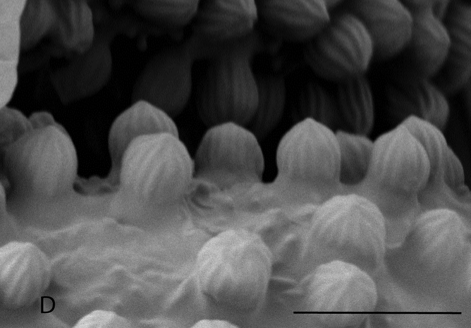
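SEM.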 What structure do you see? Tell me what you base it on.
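Supratectal subunits. Rounded knob-like elements rise above a flatter underlying wall surface.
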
